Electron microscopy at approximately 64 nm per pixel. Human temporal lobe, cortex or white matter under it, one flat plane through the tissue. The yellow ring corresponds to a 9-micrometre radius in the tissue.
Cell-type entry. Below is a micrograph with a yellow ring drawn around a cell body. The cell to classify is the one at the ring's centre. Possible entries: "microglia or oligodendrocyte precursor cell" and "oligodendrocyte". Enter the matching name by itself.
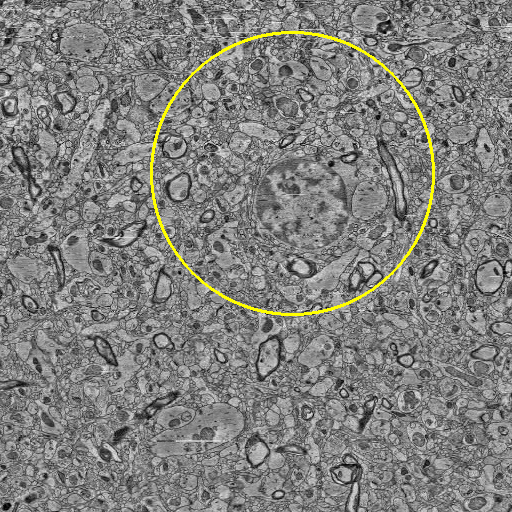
oligodendrocyte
